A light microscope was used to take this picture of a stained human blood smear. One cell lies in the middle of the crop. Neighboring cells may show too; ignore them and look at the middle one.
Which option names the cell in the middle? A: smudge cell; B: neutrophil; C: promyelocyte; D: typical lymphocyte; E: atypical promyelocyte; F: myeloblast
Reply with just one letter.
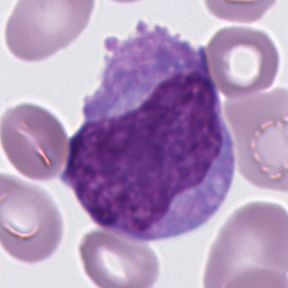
E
